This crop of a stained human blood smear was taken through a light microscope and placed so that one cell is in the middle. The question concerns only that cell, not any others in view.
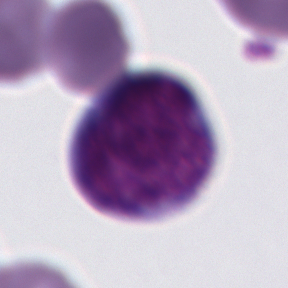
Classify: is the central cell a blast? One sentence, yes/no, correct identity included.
Yes, this is a blast, the cell in the middle of the crop.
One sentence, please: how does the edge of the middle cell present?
The edge of the cell is unbroken and smooth, bearing no projections.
